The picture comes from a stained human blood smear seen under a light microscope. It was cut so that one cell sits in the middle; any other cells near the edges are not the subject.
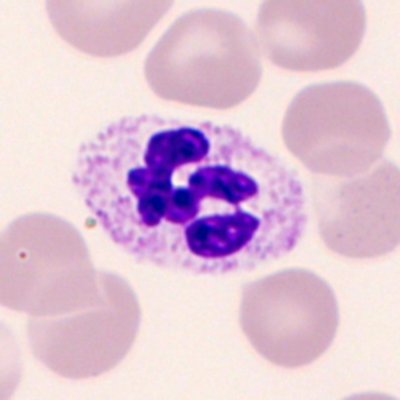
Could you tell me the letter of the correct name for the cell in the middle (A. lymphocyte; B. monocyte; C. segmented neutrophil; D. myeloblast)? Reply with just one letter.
C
